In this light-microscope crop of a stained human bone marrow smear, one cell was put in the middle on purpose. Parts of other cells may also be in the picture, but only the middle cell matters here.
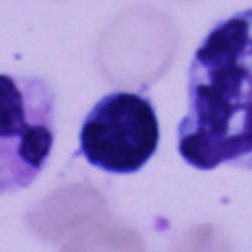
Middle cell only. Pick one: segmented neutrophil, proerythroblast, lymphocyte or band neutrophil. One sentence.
The cell at the middle of the crop is recognized as a lymphocyte.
